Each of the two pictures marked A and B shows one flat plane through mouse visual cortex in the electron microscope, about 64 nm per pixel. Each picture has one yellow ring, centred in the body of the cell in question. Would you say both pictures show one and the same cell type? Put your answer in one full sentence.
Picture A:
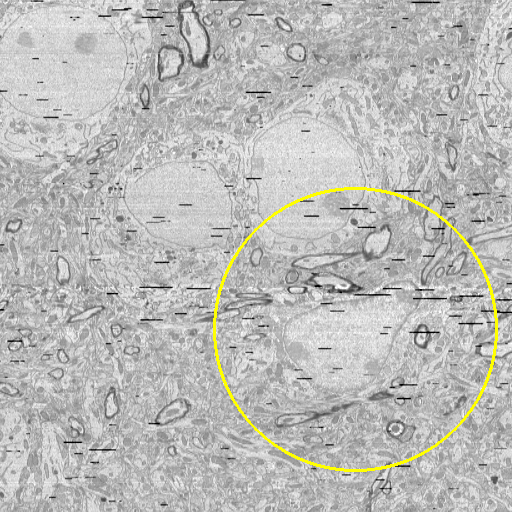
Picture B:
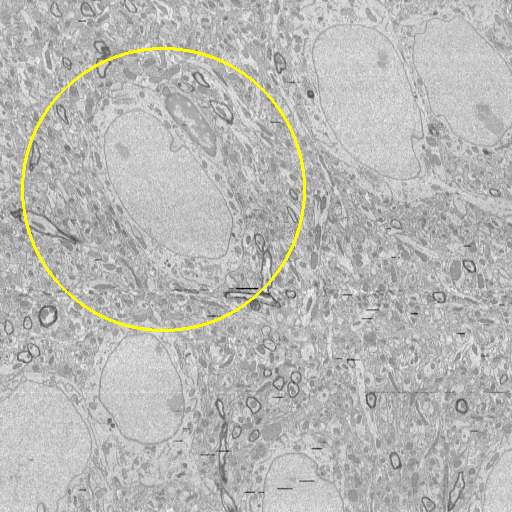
No; the cell in picture A is an astrocyte, while the one in picture B is an excitatory neuron.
